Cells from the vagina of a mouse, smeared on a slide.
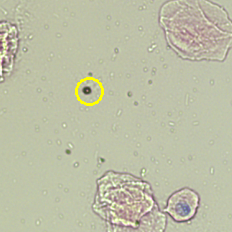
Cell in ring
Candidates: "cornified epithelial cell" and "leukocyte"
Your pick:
leukocyte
